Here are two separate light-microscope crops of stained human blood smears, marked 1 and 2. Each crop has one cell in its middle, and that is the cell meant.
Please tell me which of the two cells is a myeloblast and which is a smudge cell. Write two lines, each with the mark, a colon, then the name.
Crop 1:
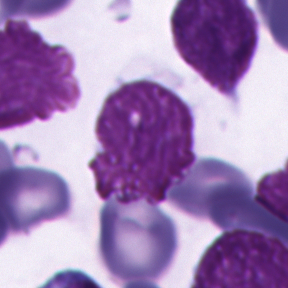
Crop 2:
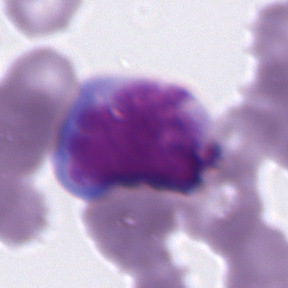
1: smudge cell
2: myeloblast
